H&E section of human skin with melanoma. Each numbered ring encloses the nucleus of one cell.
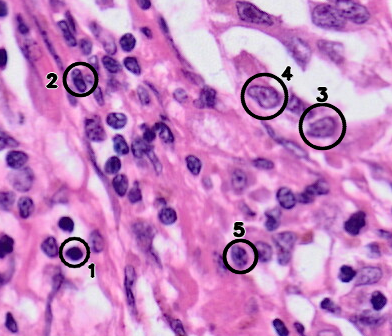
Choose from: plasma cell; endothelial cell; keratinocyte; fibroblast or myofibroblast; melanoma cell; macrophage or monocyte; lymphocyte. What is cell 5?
lymphocyte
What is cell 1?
lymphocyte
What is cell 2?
lymphocyte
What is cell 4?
melanoma cell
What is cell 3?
melanoma cell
